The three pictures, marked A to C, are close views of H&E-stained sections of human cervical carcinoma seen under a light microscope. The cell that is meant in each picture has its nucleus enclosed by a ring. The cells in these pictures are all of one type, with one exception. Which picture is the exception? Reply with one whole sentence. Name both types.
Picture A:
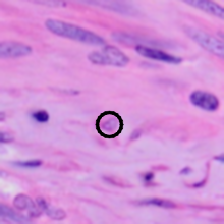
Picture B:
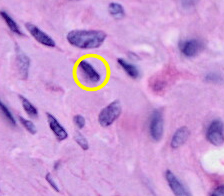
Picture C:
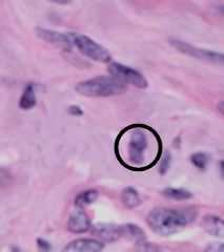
Picture A differs, because its cell is a smooth muscle cell and the rest are fibroblasts.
